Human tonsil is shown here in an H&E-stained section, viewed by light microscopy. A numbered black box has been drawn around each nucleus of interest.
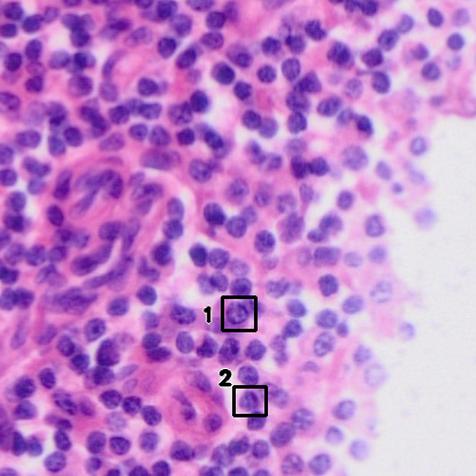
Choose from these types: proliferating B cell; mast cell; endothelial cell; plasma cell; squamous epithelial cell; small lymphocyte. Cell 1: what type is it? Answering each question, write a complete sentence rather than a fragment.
The mark numbered 1 indicates the nucleus of a plasma cell.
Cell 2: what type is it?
Marked with the number 2, this cell is a small lymphocyte.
